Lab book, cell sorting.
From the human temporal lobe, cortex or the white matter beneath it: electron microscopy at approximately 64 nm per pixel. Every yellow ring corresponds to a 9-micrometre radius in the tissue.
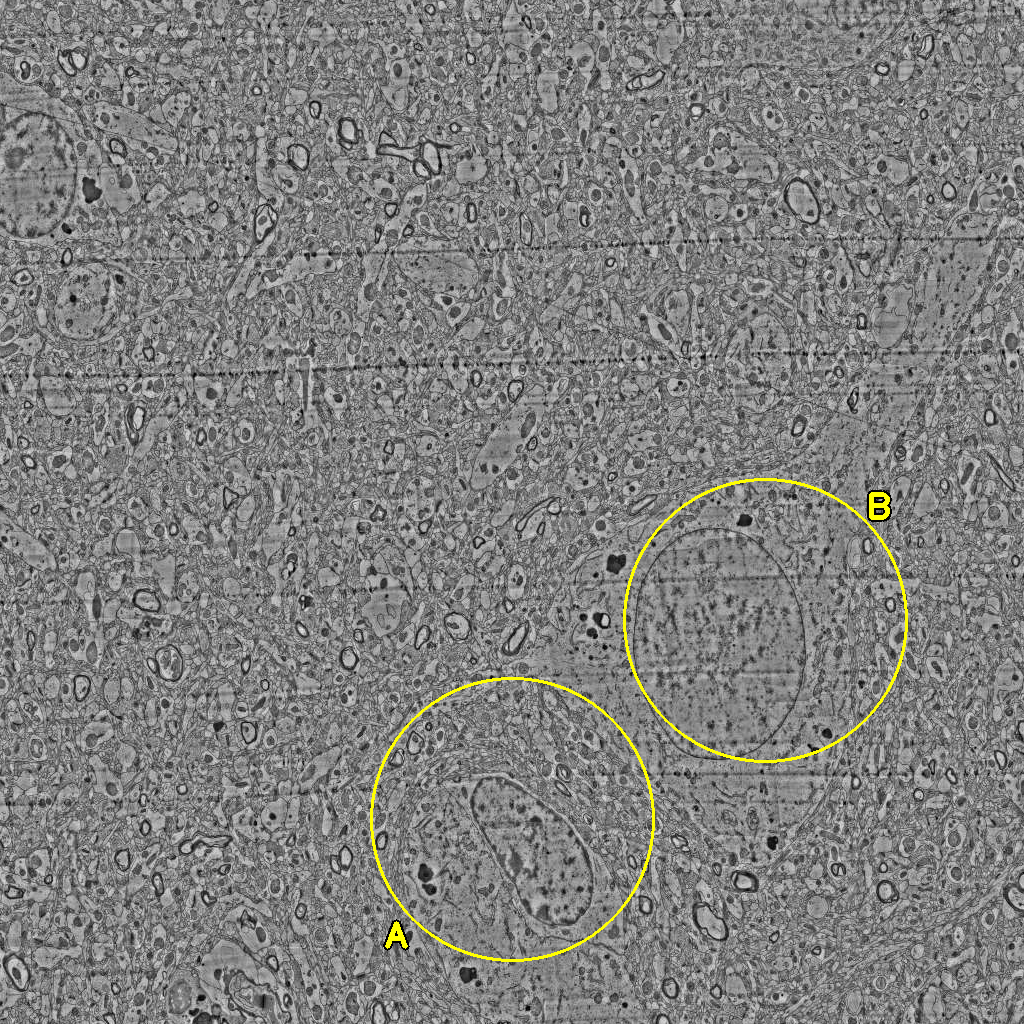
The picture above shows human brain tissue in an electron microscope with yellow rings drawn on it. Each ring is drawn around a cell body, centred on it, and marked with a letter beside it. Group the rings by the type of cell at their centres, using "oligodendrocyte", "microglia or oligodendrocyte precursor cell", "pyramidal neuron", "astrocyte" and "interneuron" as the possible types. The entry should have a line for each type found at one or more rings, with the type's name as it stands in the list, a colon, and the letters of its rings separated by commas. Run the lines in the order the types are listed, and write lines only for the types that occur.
microglia or oligodendrocyte precursor cell: A
pyramidal neuron: B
